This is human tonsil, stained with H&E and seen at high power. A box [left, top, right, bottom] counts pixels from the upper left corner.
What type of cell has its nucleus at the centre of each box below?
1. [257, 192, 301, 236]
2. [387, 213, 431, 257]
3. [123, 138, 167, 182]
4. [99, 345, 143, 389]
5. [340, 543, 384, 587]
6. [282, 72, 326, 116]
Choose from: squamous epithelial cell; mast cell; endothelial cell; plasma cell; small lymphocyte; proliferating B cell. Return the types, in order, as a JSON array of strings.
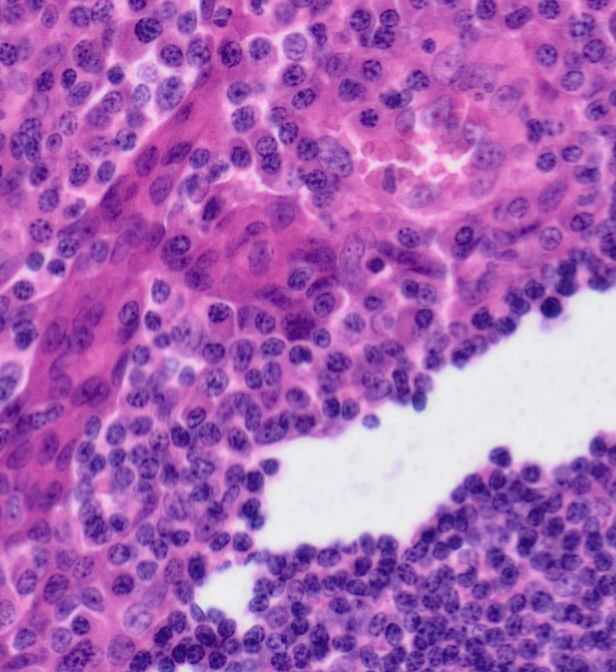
["squamous epithelial cell", "plasma cell", "squamous epithelial cell", "squamous epithelial cell", "small lymphocyte", "plasma cell"]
